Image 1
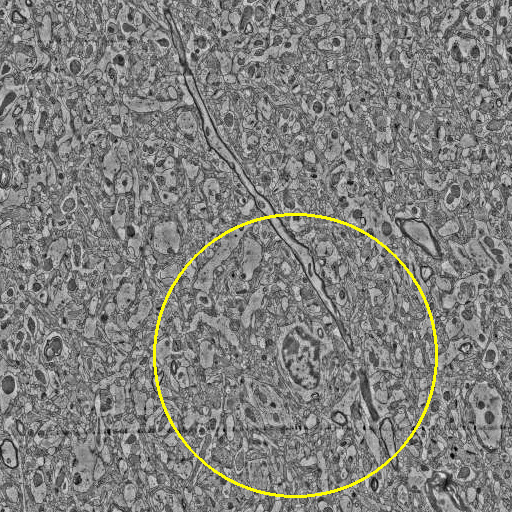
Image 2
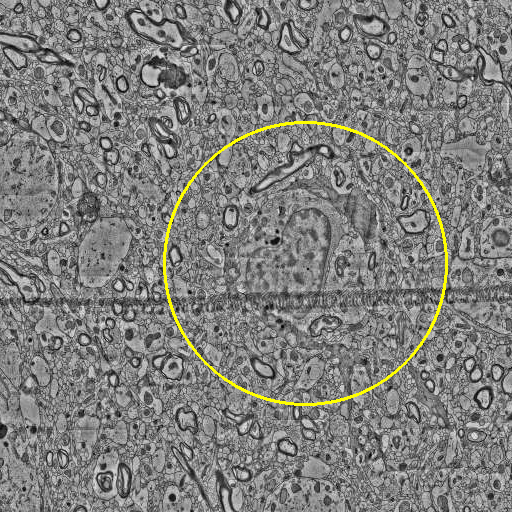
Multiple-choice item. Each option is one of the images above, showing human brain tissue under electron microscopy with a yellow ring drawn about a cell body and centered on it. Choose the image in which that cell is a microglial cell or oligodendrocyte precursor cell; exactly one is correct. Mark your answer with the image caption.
Image 1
